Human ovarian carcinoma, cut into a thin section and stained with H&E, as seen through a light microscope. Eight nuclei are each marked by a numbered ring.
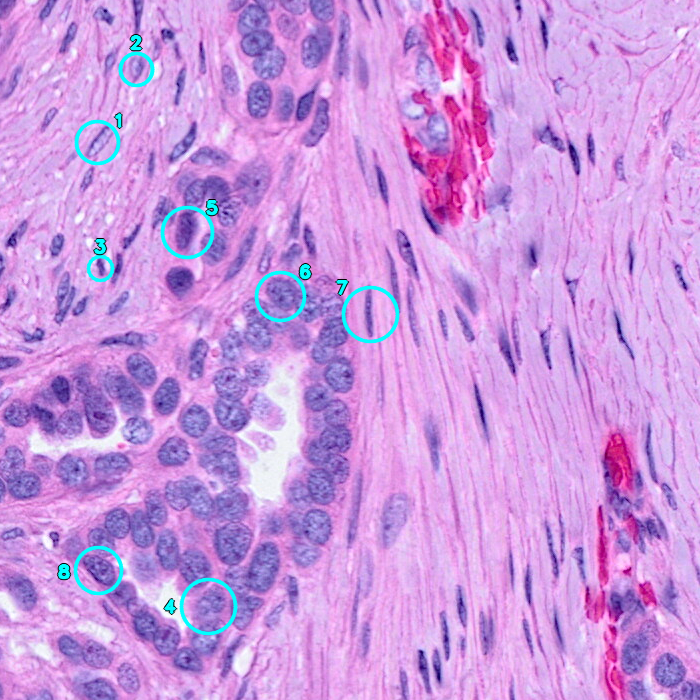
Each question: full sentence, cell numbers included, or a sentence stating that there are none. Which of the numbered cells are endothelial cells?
The numbered cells and the endothelial cells have no member in common.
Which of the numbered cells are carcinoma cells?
The cells numbered 4, 5, 6 and 8 are typed as carcinoma cells.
